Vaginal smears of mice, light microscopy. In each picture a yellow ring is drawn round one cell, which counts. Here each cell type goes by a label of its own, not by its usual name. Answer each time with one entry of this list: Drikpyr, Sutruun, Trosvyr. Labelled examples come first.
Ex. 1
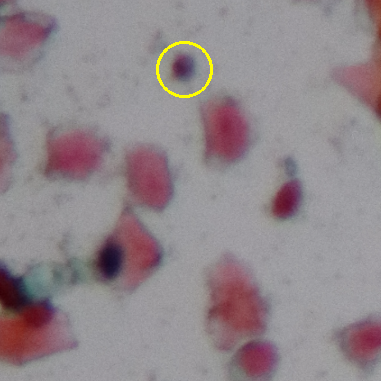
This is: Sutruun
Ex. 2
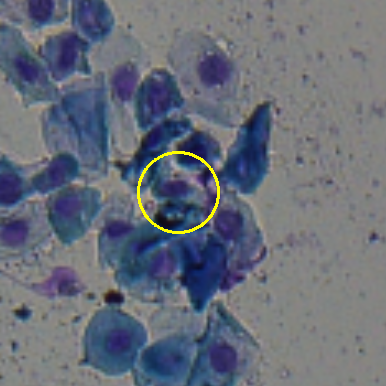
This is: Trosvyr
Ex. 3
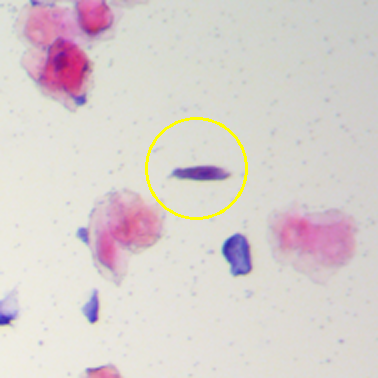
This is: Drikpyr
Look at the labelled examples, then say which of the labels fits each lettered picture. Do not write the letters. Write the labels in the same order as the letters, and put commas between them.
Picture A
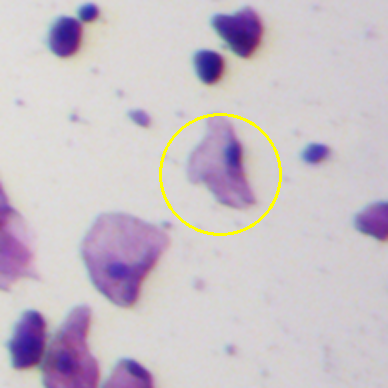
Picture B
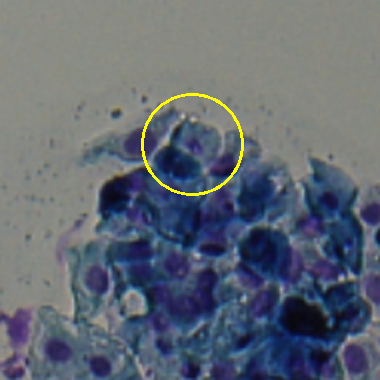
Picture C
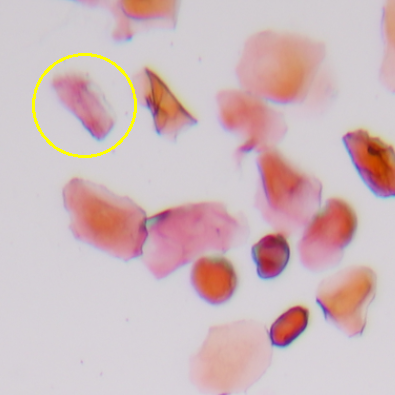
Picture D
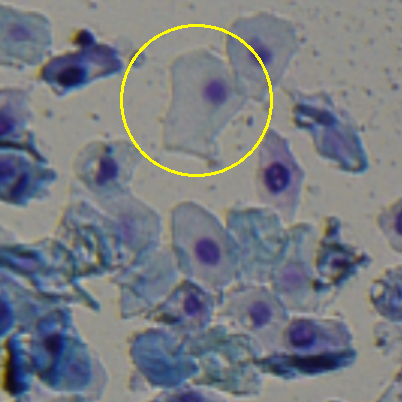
Trosvyr, Trosvyr, Drikpyr, Trosvyr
